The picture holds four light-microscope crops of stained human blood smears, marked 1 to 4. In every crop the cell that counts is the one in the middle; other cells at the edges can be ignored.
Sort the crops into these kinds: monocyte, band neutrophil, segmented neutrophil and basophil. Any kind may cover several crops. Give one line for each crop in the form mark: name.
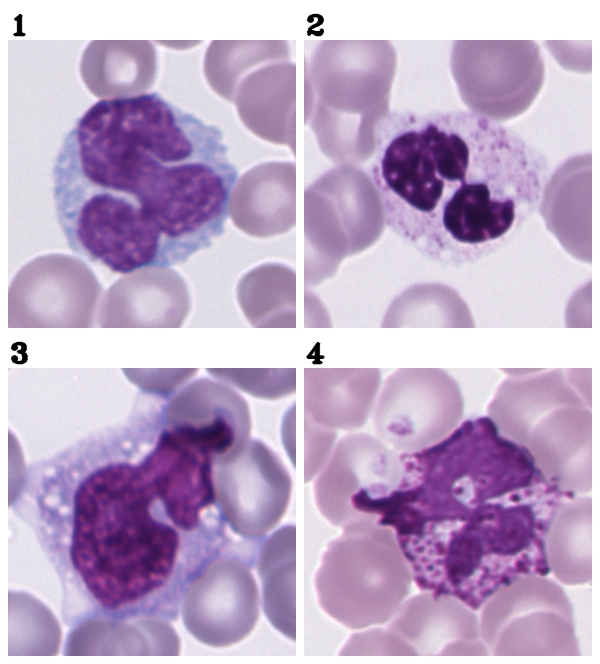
1: monocyte
2: segmented neutrophil
3: monocyte
4: basophil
